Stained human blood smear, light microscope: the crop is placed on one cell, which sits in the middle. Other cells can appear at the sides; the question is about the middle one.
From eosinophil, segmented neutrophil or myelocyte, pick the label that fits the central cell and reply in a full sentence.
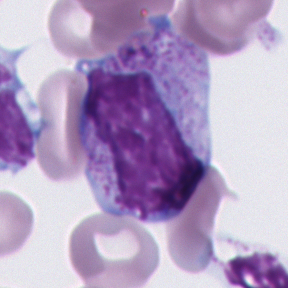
Centrally within this crop lies a myelocyte.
